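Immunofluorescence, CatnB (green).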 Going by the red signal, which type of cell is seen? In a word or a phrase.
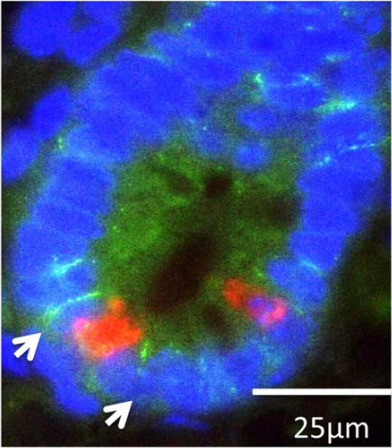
Paneth cells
